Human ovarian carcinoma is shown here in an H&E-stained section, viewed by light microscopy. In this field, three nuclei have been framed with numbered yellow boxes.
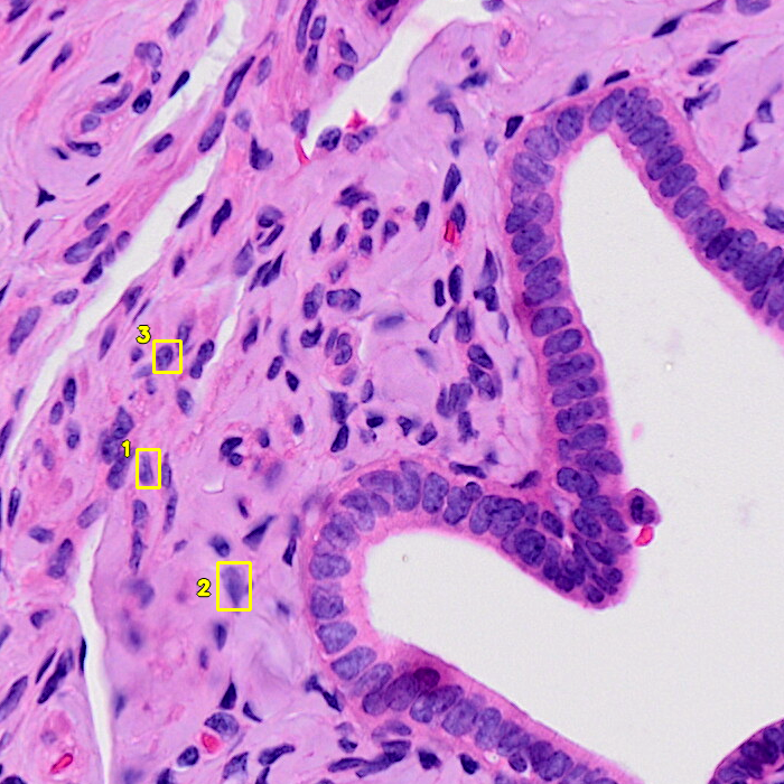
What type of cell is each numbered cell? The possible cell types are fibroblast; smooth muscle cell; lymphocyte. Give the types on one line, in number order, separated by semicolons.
smooth muscle cell; fibroblast; smooth muscle cell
